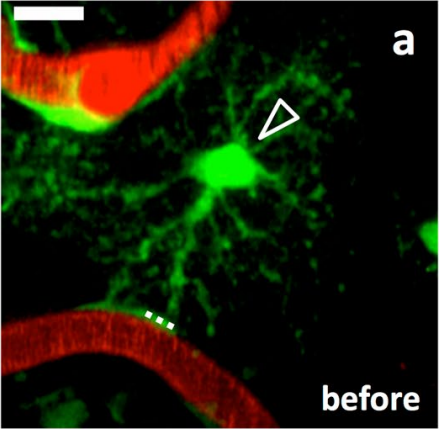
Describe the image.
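A single astrocyte lies between two blood vessels, with its green cell body in the centre of the field and the vessels showing as broad red tubes at the top and bottom. The cell body is small and rounded, and from it many thin, branching processes spread in all directions, giving the cell a bushy, star-like outline with a fine granular halo. At the top left, green signal coats the upper vessel's surface. Toward the bottom, one process runs down to the lower vessel and widens as it meets its wall, forming an endfoot where the dotted line lies.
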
